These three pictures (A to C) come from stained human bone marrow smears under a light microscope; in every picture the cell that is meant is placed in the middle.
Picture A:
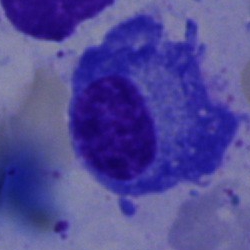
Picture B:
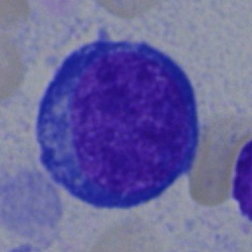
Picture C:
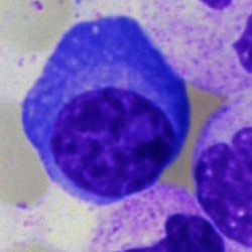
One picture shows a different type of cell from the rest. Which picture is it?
B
